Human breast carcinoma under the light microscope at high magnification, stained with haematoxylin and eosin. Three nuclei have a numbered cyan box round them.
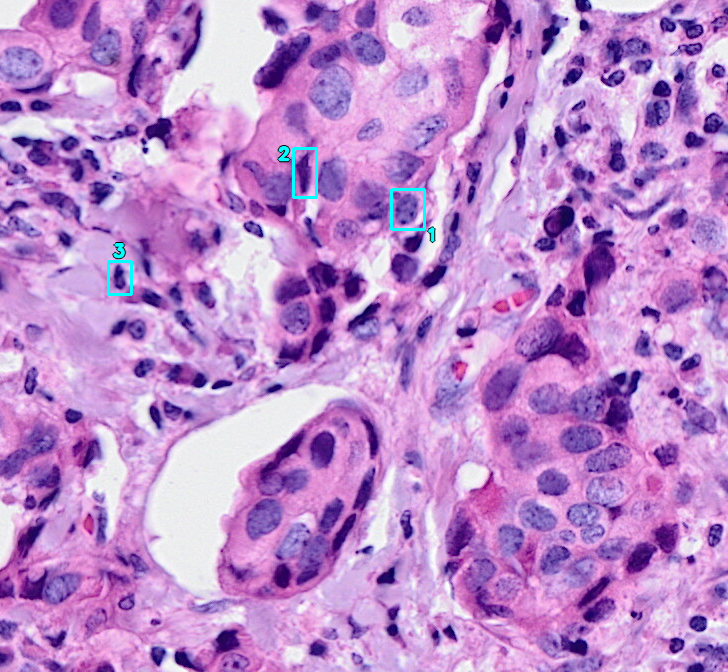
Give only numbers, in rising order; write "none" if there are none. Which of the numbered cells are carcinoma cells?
1, 2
